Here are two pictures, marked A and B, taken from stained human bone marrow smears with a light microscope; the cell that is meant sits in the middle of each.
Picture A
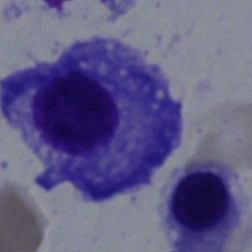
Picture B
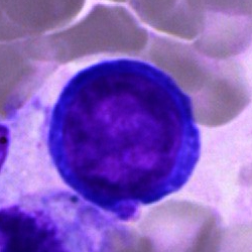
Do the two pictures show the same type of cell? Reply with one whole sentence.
No. Picture A shows a plasma cell, but picture B shows a proerythroblast.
